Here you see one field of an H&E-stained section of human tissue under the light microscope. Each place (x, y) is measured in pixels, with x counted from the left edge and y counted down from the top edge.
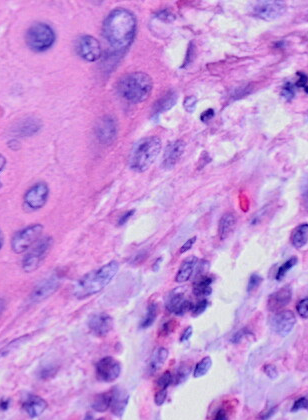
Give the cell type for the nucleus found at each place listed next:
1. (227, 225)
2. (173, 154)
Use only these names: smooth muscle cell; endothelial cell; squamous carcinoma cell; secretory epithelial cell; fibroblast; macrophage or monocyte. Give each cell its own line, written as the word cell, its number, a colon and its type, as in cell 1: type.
cell 1: endothelial cell
cell 2: fibroblast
